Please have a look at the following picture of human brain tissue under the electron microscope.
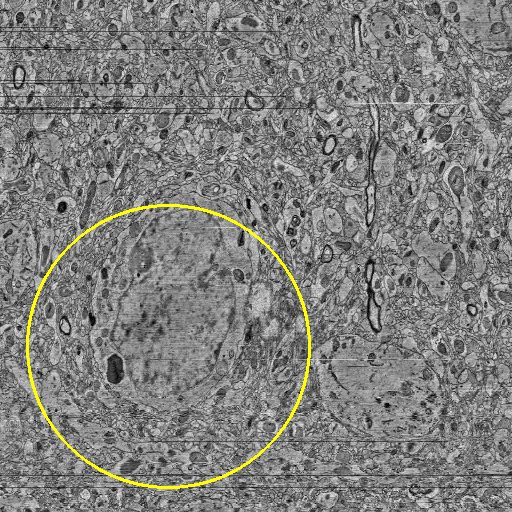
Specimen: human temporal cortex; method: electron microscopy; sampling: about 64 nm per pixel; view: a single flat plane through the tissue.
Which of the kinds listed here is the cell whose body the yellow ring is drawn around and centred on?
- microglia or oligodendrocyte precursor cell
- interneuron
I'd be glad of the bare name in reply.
interneuron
